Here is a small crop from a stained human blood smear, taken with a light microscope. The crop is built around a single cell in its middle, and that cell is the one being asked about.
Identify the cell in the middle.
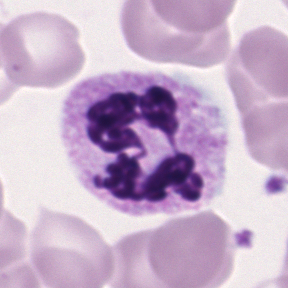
segmented neutrophil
